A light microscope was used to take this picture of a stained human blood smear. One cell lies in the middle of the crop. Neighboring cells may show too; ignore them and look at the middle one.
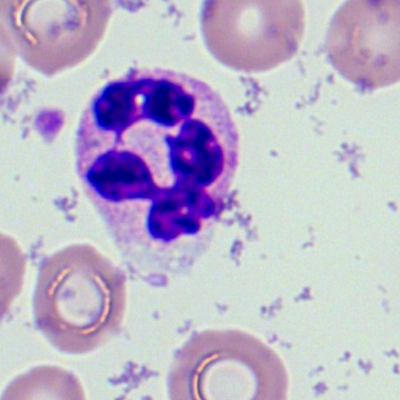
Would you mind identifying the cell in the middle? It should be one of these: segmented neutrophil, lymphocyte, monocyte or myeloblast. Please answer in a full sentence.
The cell at the middle of the frame should be recorded as a segmented neutrophil.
